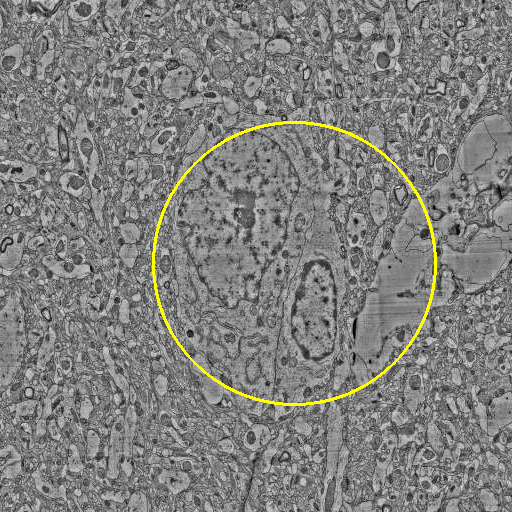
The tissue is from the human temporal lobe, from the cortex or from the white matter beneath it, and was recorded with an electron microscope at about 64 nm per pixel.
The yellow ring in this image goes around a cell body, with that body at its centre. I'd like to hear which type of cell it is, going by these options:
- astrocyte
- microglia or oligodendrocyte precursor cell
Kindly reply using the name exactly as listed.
microglia or oligodendrocyte precursor cell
